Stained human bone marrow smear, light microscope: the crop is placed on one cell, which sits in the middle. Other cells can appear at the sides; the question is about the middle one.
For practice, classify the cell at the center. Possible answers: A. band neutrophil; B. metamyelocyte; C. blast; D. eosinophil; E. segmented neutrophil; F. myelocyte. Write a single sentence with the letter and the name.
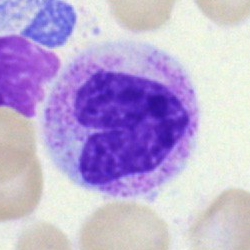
It is a band neutrophil that occupies the centre of the crop, so option A is correct.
